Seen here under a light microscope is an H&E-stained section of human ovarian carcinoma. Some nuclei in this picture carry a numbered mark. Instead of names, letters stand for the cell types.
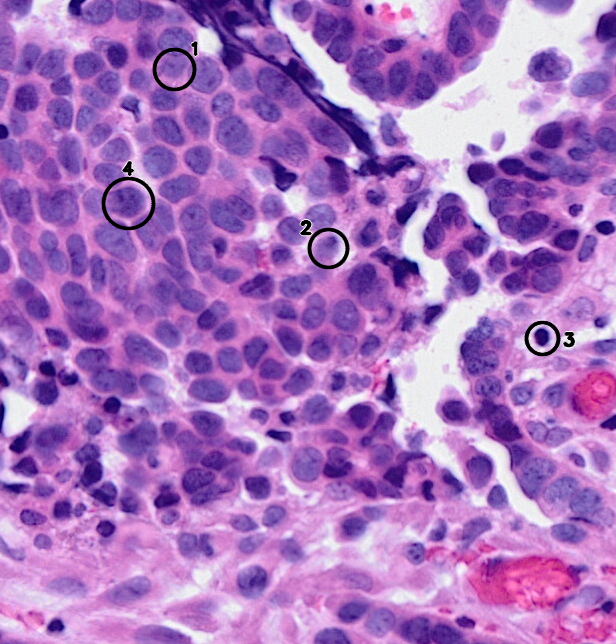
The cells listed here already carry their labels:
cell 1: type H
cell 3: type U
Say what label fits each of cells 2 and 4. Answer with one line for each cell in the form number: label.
2: type H
4: type H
